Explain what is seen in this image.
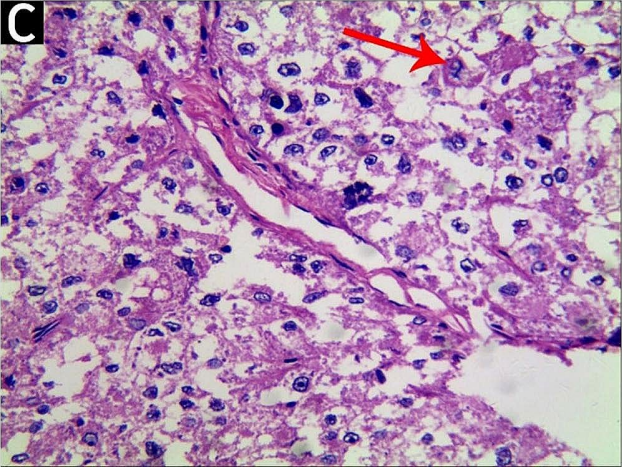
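These are tumour cells seen at high power, lying in sheets on either side of a thin pink band of fibrous tissue with flattened, elongated nuclei. The tumour cells have pale, finely bubbly or vacuolated pink cytoplasm and round to oval purple nuclei of somewhat varying size. Scattered among them are cells with dark, clumped chromatin, one near the centre showing condensed chromosomes, the appearance of a dividing cell.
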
